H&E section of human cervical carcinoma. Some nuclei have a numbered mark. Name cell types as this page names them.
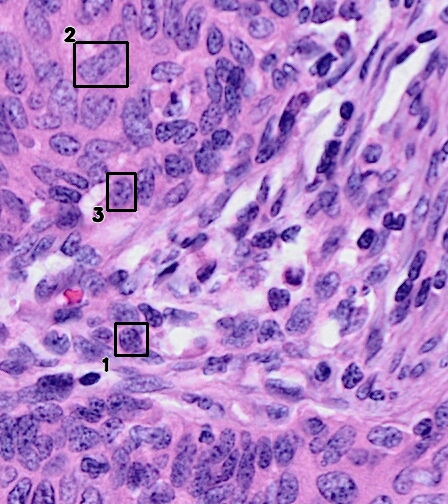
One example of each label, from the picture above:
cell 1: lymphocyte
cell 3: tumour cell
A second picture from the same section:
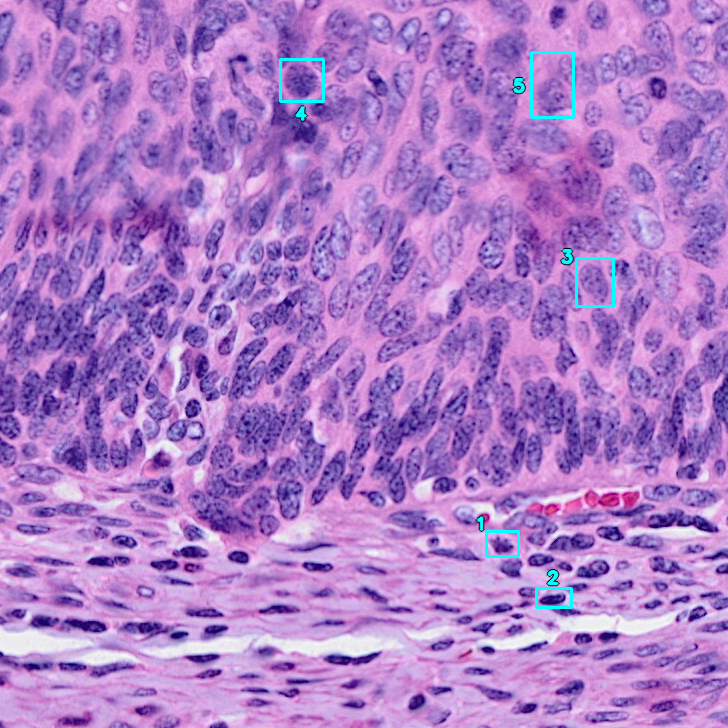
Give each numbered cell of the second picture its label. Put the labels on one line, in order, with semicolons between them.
lymphocyte; lymphocyte; tumour cell; tumour cell; tumour cell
